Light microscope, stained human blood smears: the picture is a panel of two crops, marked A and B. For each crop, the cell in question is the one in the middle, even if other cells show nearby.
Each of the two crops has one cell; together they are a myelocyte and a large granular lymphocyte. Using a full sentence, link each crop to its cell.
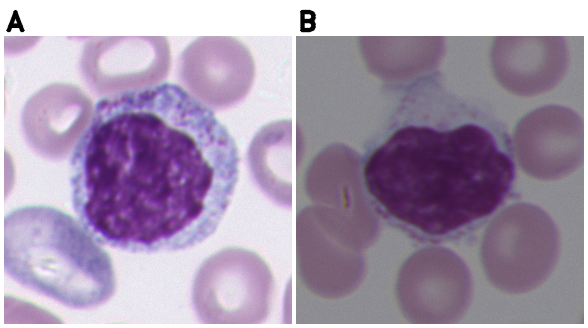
Crop A has a myelocyte at its centre, and crop B has a large granular lymphocyte.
